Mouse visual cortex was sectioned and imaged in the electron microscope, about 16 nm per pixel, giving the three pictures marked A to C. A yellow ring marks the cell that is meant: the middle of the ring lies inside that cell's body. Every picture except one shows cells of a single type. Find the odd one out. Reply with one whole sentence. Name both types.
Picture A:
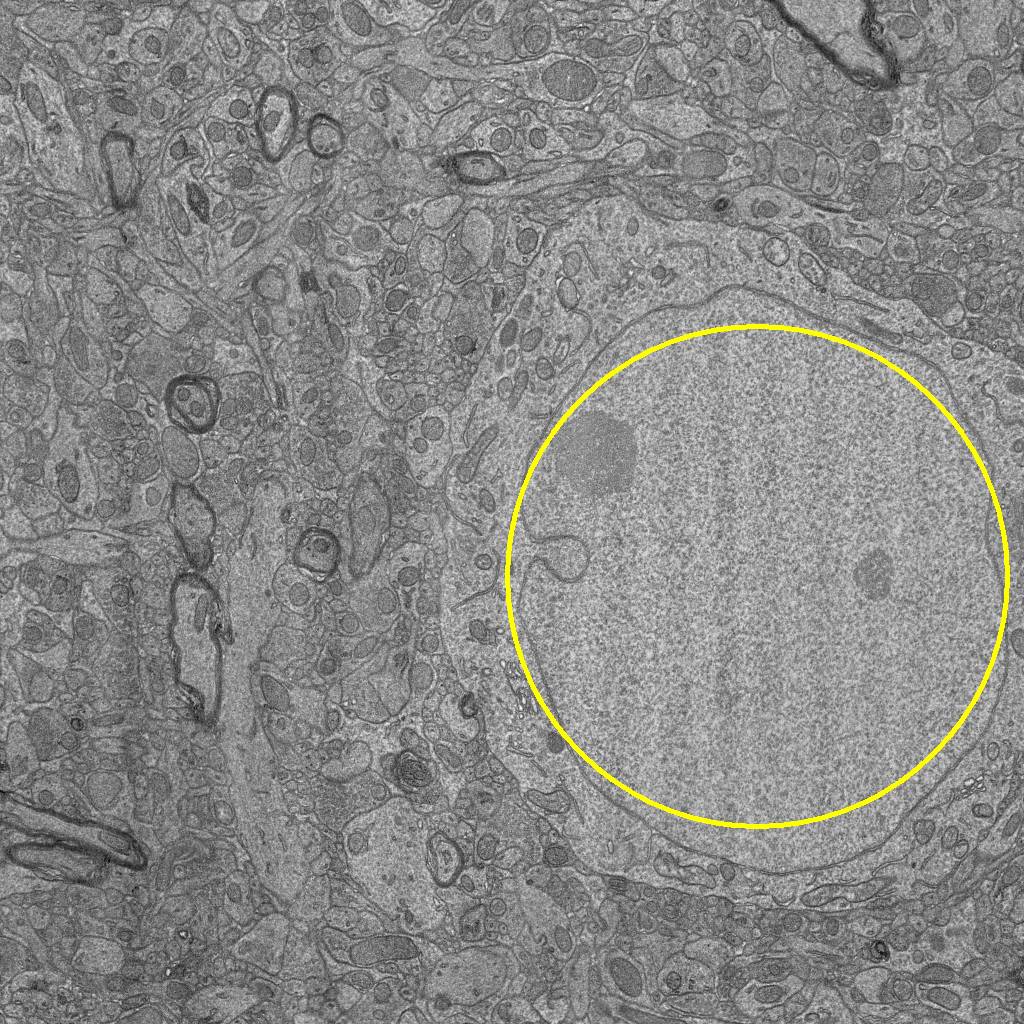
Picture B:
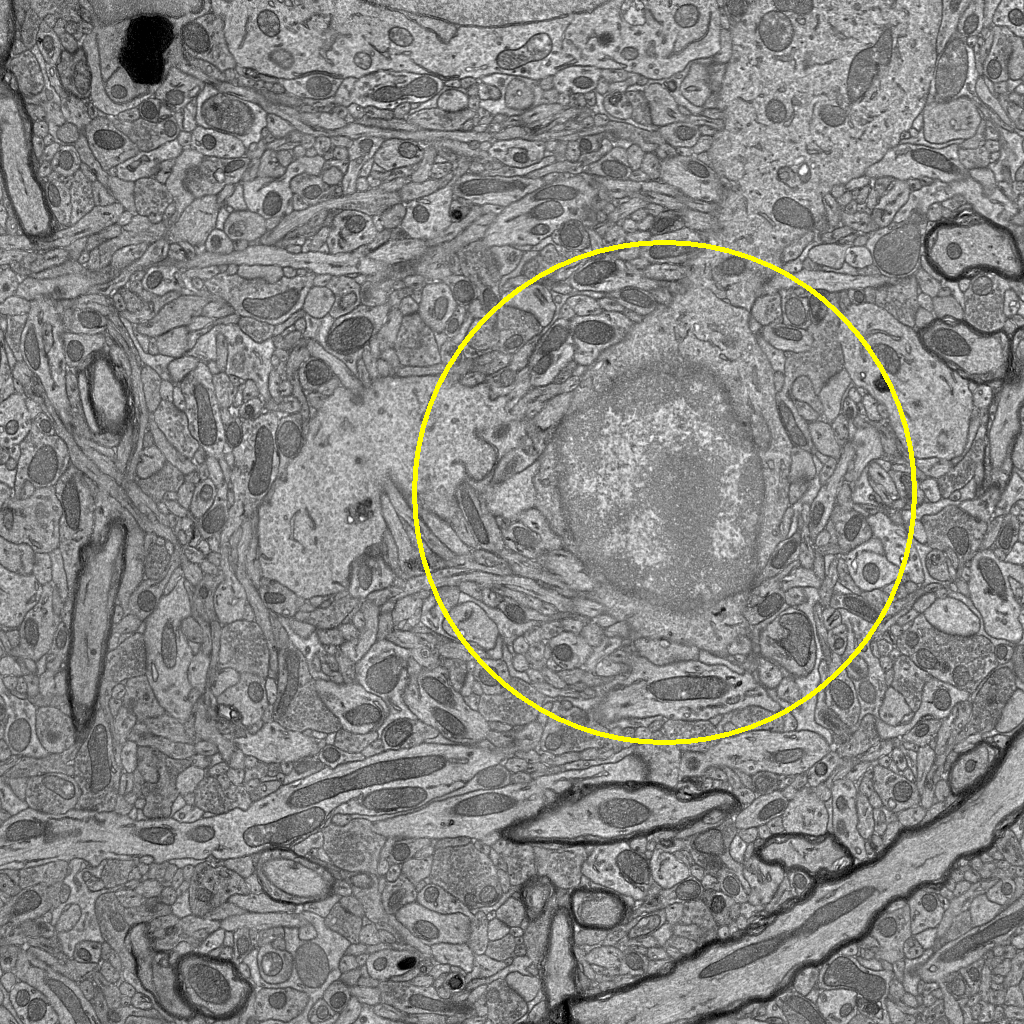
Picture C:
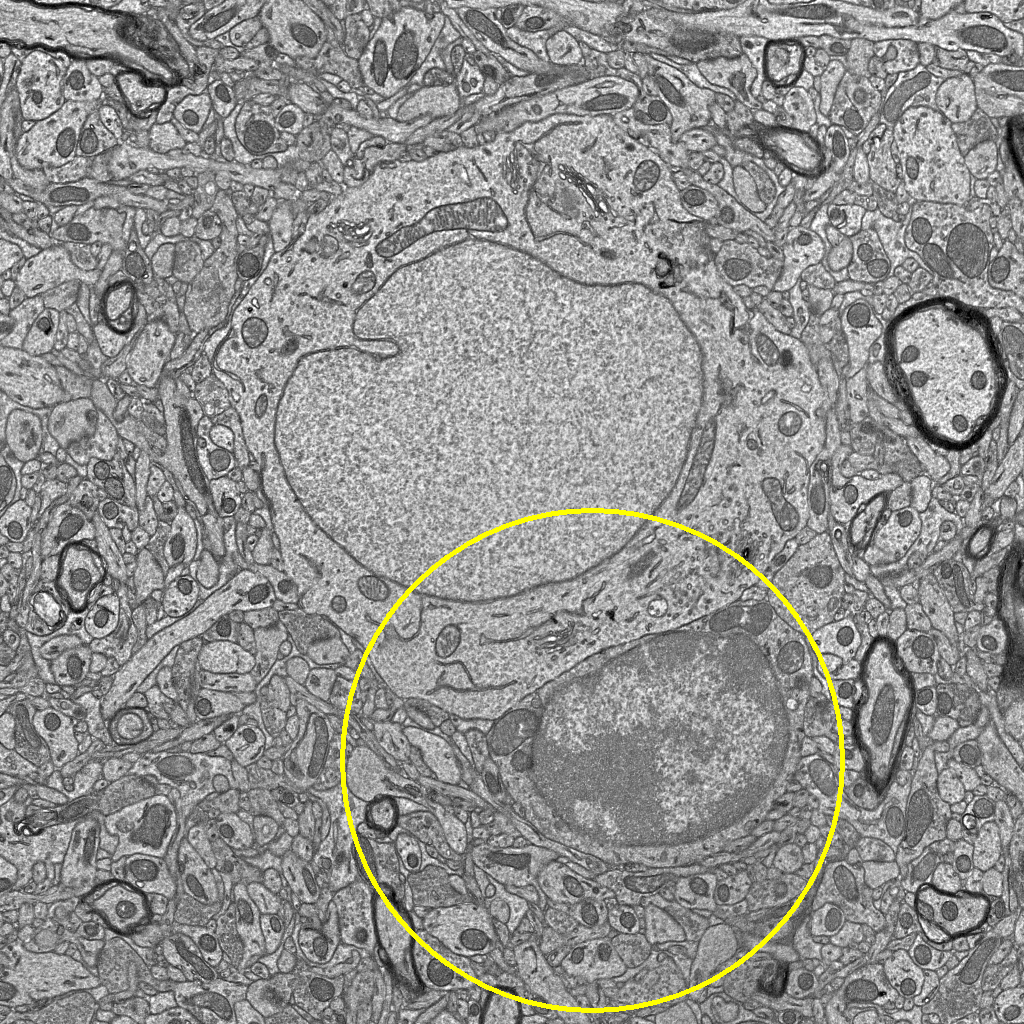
The different one is picture A; it shows an excitatory neuron, whereas all the others show oligodendrocytes.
